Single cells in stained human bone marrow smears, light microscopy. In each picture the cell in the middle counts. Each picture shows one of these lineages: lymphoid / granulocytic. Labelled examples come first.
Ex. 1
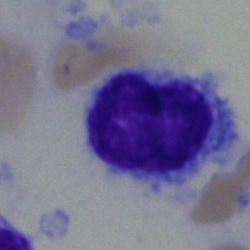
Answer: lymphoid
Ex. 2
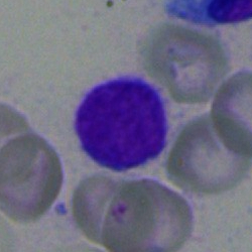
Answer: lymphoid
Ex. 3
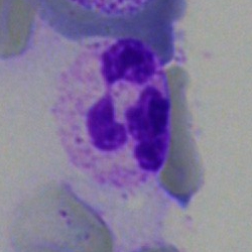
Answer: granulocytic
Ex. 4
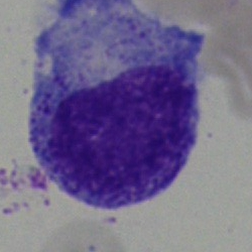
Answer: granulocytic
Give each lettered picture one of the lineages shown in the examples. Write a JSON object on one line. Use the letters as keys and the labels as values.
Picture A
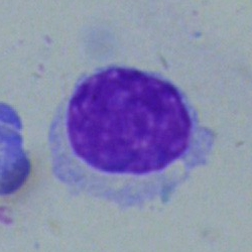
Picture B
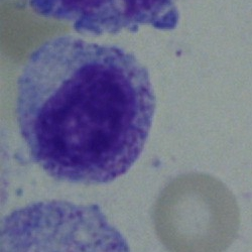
{"A": "lymphoid", "B": "granulocytic"}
